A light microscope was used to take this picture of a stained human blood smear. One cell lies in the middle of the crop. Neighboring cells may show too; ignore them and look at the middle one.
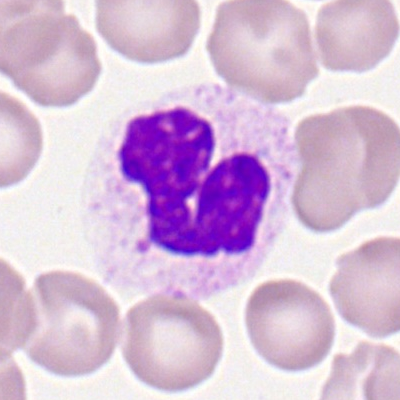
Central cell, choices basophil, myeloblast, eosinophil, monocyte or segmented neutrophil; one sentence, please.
In this crop, the cell at the very middle is a segmented neutrophil.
